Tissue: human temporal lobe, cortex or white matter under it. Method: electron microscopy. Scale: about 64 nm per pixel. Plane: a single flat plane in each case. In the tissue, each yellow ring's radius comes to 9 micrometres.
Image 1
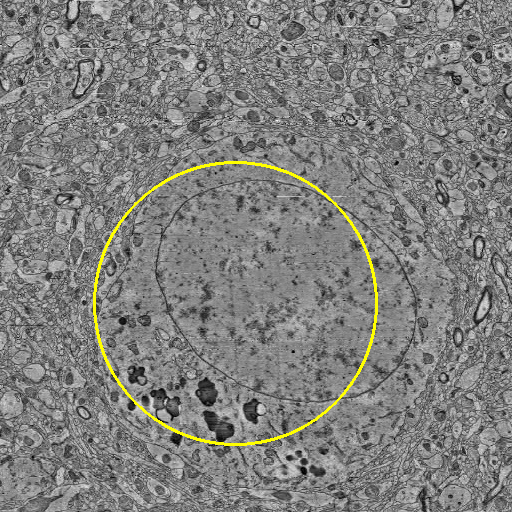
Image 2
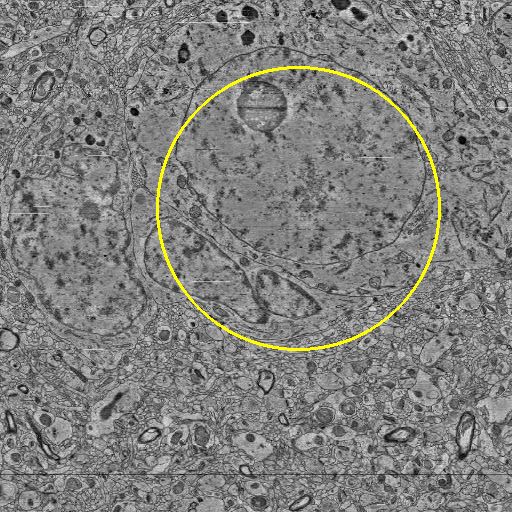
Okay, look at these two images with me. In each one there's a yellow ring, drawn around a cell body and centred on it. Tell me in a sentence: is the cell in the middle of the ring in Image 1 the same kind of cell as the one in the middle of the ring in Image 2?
Yes, they're the same kind of cell.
